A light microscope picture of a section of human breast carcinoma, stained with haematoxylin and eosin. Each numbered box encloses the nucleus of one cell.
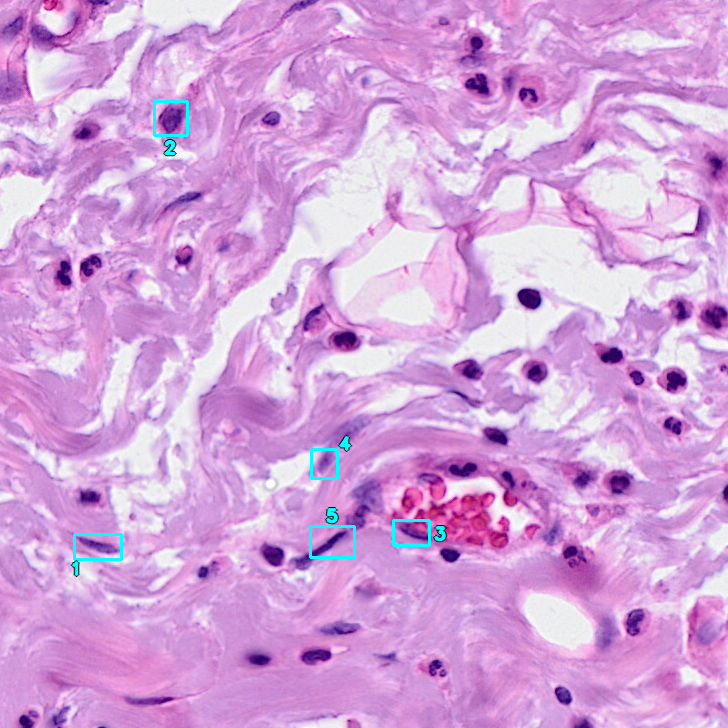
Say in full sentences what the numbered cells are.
Cell 1 is a fibroblast, cell 2 is a macrophage, monocyte or dendritic cell, cell 3 is an endothelial cell, cell 4 is a fibroblast and cell 5 is a fibroblast.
